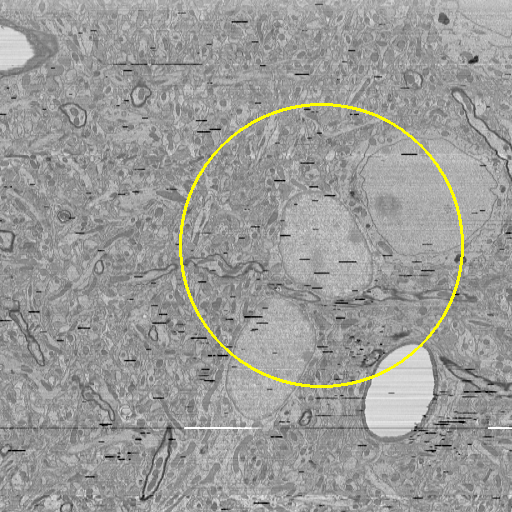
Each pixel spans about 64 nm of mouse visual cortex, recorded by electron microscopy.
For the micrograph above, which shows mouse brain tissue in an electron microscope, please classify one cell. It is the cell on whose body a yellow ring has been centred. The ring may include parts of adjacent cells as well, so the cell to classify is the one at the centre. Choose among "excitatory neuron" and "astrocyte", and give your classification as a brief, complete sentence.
I classify this cell as an astrocyte.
